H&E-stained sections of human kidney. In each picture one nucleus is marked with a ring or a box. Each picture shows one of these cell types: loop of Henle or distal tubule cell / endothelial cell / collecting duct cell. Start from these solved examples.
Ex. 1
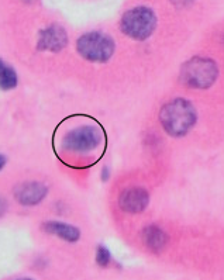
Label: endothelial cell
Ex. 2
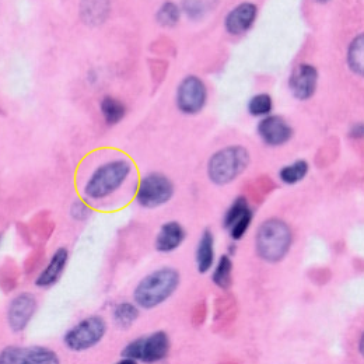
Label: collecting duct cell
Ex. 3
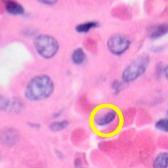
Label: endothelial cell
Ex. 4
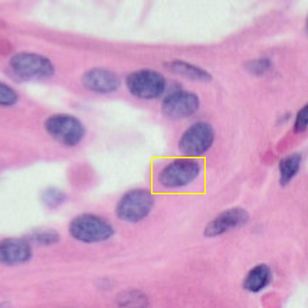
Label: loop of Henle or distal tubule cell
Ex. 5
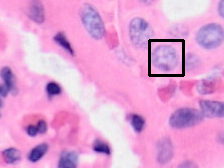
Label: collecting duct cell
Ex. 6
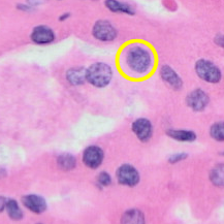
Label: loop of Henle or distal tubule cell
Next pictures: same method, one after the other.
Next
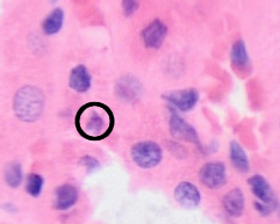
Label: loop of Henle or distal tubule cell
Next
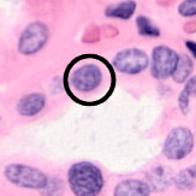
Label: collecting duct cell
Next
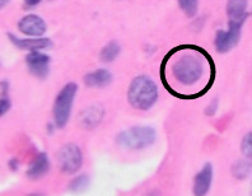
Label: loop of Henle or distal tubule cell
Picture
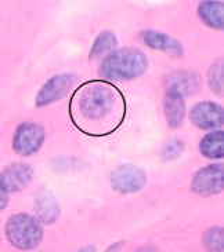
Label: collecting duct cell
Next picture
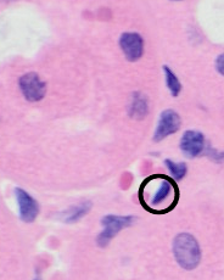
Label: endothelial cell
